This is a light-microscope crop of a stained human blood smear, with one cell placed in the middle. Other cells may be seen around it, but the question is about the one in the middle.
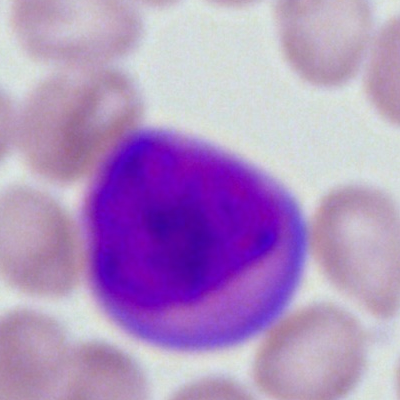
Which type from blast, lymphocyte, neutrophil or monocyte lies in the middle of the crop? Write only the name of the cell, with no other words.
blast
